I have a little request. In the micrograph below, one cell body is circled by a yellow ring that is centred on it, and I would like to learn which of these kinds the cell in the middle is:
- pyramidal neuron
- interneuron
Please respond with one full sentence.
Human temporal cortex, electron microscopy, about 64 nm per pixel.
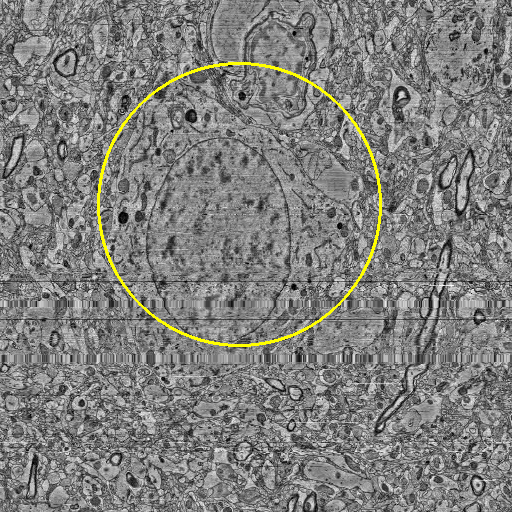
The cell sitting in the middle of the yellow ring in the micrograph is a pyramidal neuron.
